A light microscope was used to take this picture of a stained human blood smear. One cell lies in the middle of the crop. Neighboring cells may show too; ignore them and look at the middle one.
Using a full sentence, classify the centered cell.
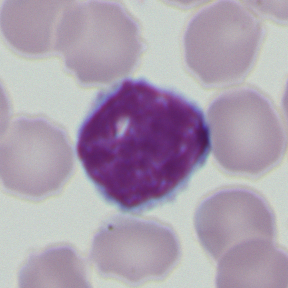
Answering briefly, the cell in the middle is a lymphocyte.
